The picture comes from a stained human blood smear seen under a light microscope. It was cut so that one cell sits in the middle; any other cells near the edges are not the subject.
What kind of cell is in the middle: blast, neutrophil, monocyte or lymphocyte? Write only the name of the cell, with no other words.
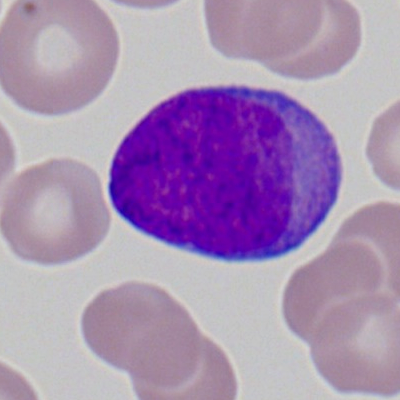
blast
